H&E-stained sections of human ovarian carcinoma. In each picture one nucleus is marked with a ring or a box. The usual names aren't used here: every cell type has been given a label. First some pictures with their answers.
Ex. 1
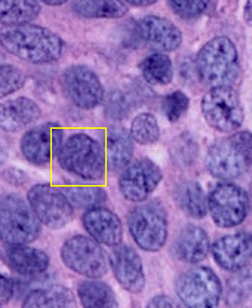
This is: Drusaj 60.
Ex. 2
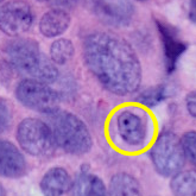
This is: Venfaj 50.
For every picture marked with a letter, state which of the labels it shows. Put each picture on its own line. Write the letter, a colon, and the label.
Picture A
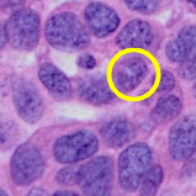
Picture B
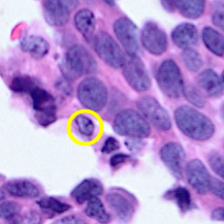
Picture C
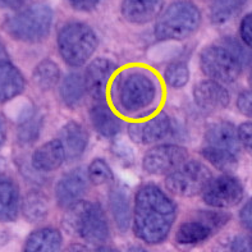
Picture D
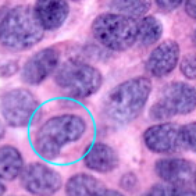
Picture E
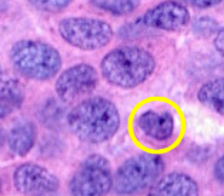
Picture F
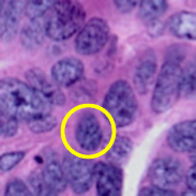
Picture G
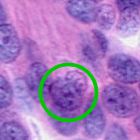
A: Drusaj 60.
B: Venfaj 50.
C: Drusaj 60.
D: Drusaj 60.
E: Venfaj 50.
F: Drusaj 60.
G: Drusaj 60.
